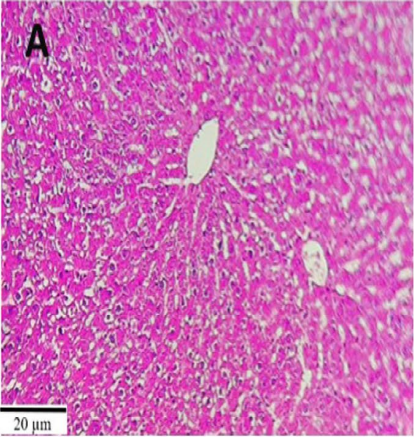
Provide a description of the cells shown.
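This is liver tissue with hepatocytes arranged in cords that radiate out from a vessel. The liver cells have evenly pink cytoplasm and round, centrally placed nuclei. Narrow pale spaces run between the cords, and a second small vessel lies lower right.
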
